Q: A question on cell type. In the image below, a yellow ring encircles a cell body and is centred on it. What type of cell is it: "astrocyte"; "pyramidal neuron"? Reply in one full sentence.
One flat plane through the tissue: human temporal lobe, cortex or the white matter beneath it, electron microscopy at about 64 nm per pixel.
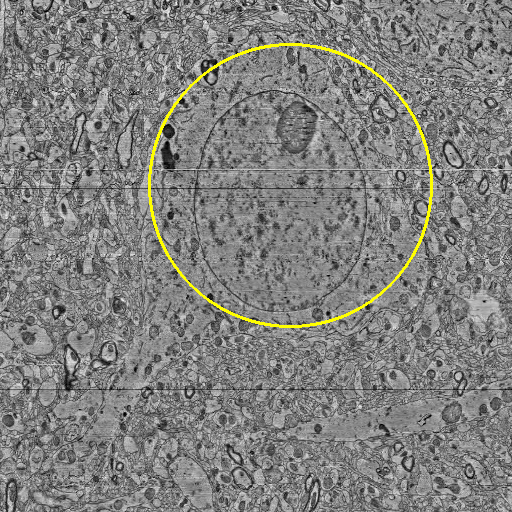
It is a pyramidal neuron whose cell body sits at the centre of the yellow ring in the image.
